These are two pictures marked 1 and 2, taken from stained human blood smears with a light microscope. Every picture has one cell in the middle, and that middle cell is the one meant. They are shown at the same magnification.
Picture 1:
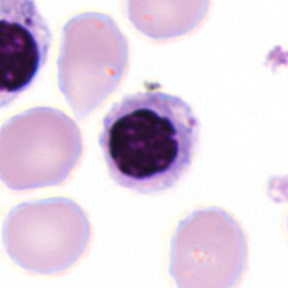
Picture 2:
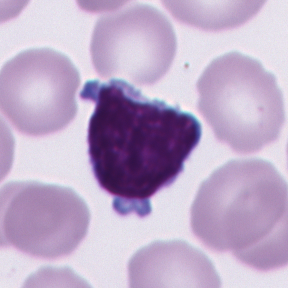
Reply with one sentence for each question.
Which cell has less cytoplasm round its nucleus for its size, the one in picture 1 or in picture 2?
In picture 2 the nucleus takes up the larger part of its cell.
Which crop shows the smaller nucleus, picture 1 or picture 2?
Smaller is the nucleus in picture 1, and the other is about 2.5 times as large in area.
